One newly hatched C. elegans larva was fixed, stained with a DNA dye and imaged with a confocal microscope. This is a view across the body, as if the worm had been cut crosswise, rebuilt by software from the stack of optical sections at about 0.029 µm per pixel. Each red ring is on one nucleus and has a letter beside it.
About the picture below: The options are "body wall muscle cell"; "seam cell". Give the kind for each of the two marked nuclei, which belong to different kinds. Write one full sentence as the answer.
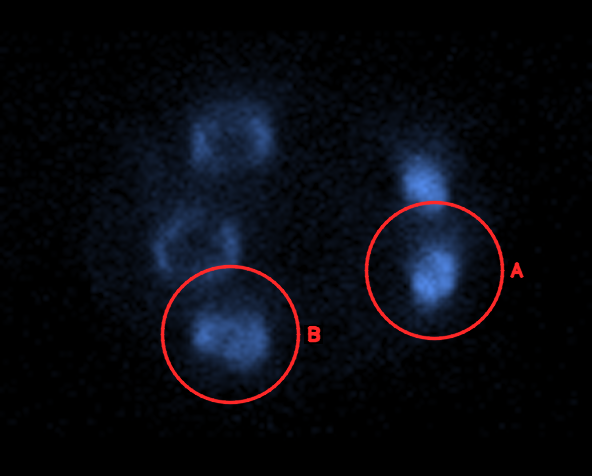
A belongs to a body wall muscle cell and B to a seam cell.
